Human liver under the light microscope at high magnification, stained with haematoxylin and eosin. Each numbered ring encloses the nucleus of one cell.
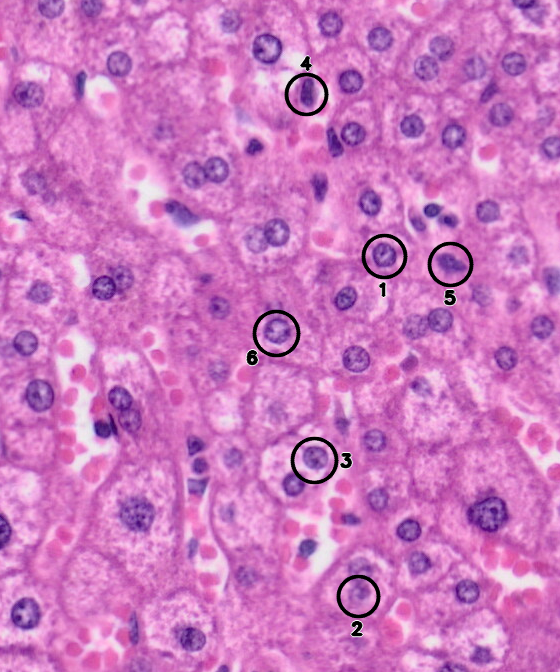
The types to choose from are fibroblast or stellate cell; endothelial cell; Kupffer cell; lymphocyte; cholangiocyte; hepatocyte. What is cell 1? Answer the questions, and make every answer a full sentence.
The numbered cell 1 is identified here as a hepatocyte.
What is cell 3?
Classified as a hepatocyte is the cell with the number 3.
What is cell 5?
The cell to which the number 5 is assigned is a fibroblast or stellate cell.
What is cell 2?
Cell 2 in the field is a hepatocyte.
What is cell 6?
Among the marked cells, number 6 is a hepatocyte.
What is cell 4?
In this section, the cell tagged 4 is a Kupffer cell.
